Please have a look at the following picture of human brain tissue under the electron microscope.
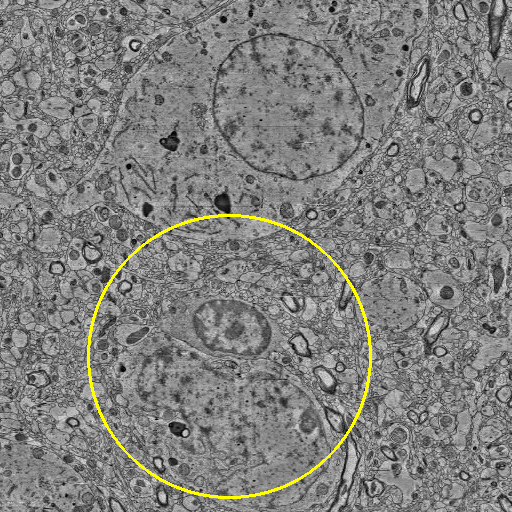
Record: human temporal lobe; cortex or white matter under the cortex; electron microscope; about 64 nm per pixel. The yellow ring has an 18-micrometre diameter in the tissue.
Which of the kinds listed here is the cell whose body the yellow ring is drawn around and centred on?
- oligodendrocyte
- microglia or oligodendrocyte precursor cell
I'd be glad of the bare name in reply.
oligodendrocyte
